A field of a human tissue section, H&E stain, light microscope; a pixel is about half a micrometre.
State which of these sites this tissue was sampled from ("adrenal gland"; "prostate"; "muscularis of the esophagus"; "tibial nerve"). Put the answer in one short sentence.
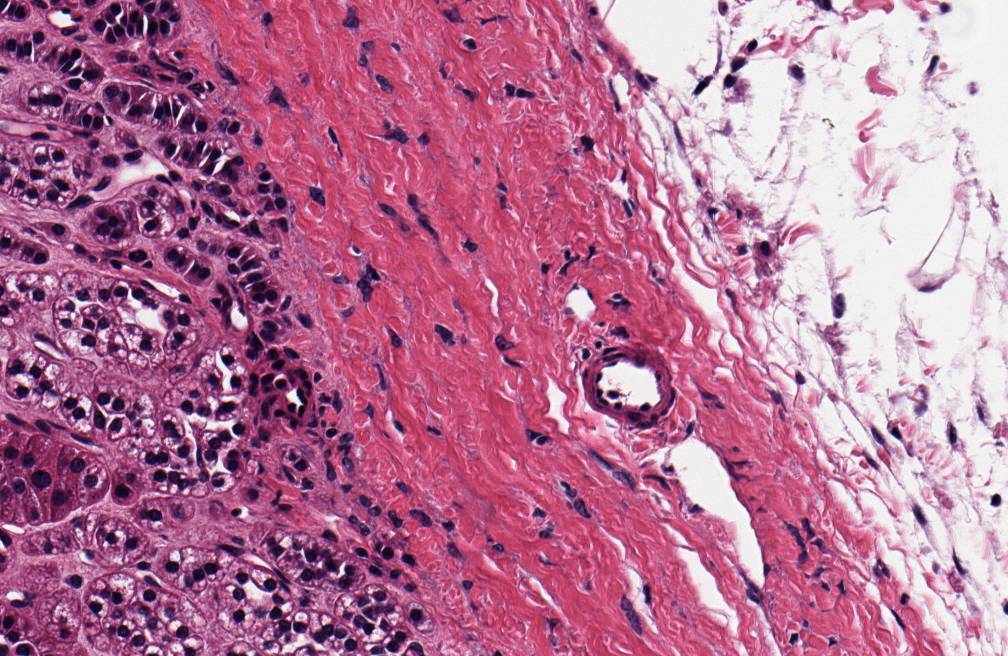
The site this tissue was sampled from is the adrenal gland.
